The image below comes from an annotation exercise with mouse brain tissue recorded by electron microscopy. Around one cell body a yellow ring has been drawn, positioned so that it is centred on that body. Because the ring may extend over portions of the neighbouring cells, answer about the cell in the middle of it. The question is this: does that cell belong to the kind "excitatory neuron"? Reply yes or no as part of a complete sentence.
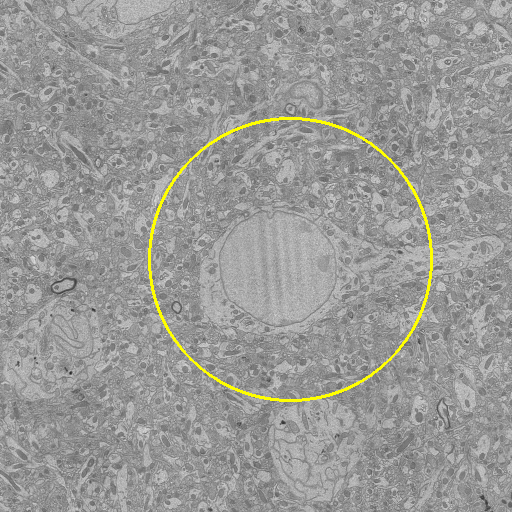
Yes, in the image the cell in the middle of the ring is of the kind asked about.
